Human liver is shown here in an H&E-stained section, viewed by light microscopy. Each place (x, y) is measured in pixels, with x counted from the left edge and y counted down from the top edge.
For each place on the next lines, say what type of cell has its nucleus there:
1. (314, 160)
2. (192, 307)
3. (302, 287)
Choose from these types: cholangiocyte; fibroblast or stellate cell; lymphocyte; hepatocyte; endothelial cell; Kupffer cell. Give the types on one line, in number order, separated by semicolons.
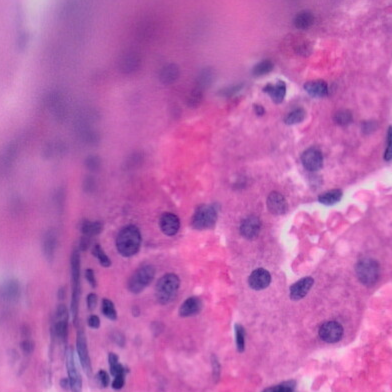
hepatocyte; fibroblast or stellate cell; fibroblast or stellate cell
